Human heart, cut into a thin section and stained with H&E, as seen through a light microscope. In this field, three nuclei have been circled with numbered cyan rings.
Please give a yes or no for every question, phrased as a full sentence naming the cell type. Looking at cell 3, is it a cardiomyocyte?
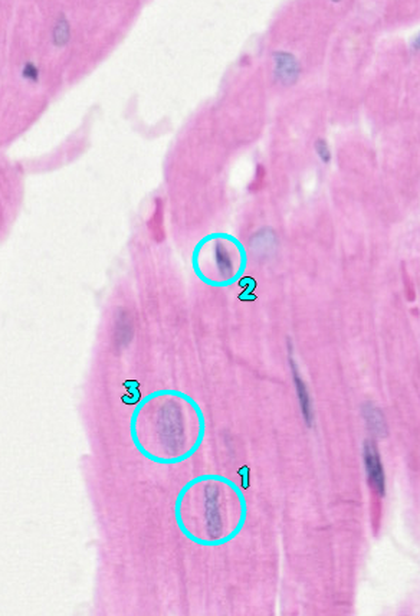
Yes, cell number 3 is classified as a cardiomyocyte.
